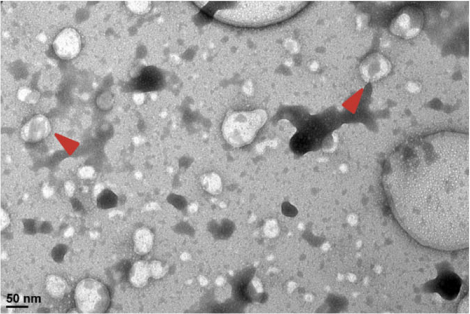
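Numerous small, rounded, membrane-bounded particles of varied size are scattered over a grey background; many show a thin rim and a paler interior, some with a cup-like, collapsed look. Amid them lie dark, irregular, amorphous deposits of stain or protein material, some directly adjoining vesicles. A few much larger round profiles with a fine granular interior cut into the edges of the field. Smaller pale specks and granules fill the spaces between the vesicles, so the background is crowded rather than clean.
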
